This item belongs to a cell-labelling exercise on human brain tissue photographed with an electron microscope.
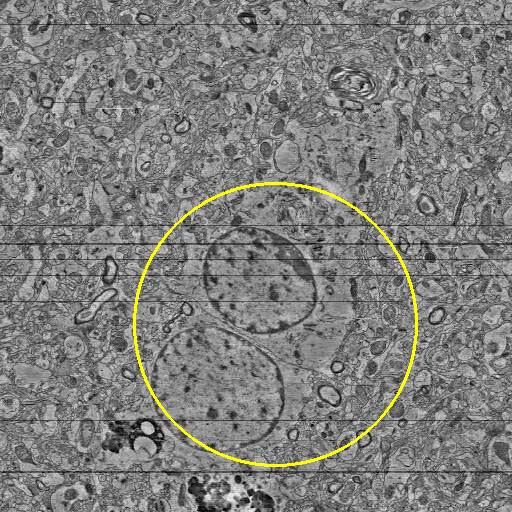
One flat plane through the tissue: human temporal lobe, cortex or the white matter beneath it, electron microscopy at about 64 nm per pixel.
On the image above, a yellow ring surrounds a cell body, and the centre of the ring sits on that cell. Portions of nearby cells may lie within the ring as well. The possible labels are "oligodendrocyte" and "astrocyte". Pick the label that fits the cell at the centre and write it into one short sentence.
This cell should be labelled as an astrocyte.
